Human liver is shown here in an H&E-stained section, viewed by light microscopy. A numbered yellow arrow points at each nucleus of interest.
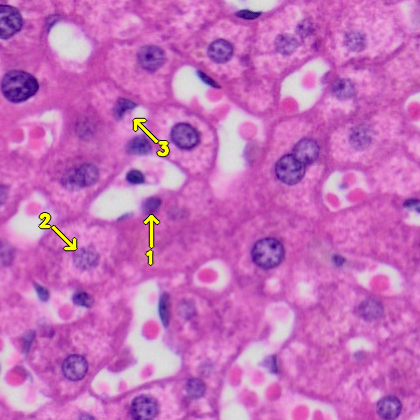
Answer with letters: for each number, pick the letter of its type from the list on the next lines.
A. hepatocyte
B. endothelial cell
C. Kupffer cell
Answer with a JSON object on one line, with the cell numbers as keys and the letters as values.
{"1": "C", "2": "A", "3": "B"}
